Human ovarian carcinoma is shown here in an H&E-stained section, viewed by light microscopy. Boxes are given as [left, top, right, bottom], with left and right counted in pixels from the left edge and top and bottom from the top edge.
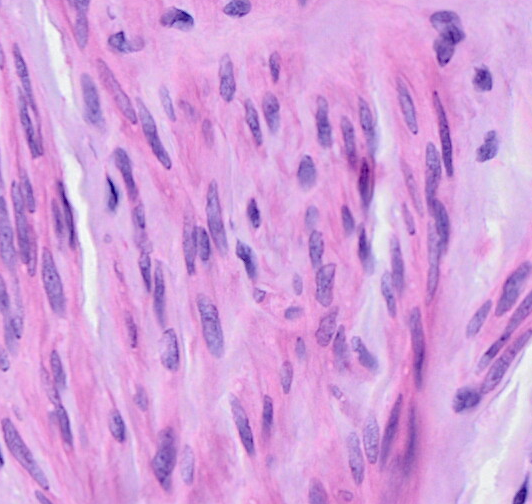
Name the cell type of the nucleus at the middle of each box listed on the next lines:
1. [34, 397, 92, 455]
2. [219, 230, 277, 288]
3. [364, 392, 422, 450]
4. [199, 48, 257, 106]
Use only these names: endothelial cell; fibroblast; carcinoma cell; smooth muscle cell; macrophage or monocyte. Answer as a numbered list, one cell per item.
1. smooth muscle cell
2. fibroblast
3. smooth muscle cell
4. smooth muscle cell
